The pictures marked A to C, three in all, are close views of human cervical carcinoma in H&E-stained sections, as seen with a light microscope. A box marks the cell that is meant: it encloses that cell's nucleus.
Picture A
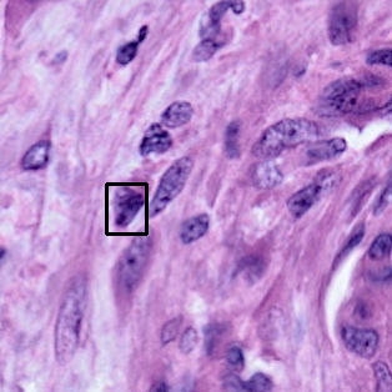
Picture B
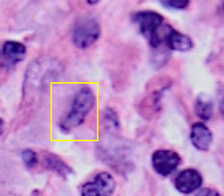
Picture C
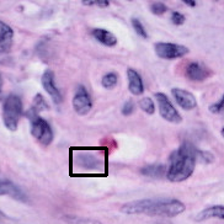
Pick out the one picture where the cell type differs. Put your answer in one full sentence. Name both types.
Picture C is the odd one out: it shows an endothelial cell, while the others show “macrophages or monocytes”.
